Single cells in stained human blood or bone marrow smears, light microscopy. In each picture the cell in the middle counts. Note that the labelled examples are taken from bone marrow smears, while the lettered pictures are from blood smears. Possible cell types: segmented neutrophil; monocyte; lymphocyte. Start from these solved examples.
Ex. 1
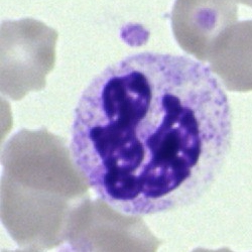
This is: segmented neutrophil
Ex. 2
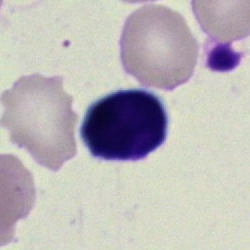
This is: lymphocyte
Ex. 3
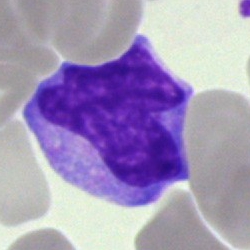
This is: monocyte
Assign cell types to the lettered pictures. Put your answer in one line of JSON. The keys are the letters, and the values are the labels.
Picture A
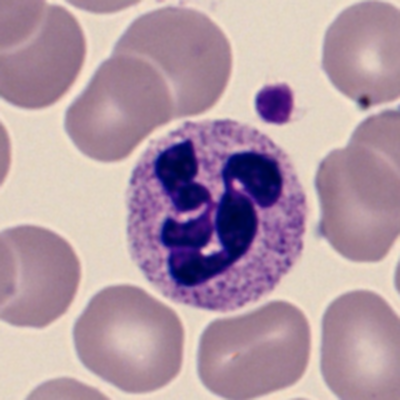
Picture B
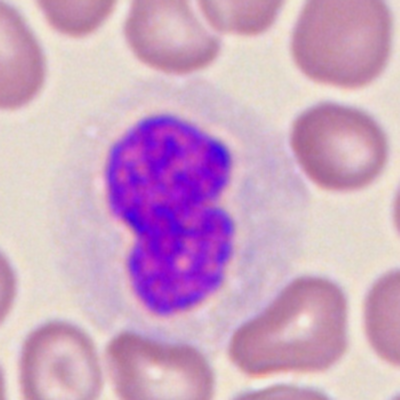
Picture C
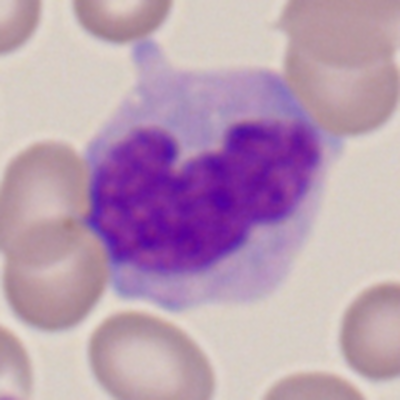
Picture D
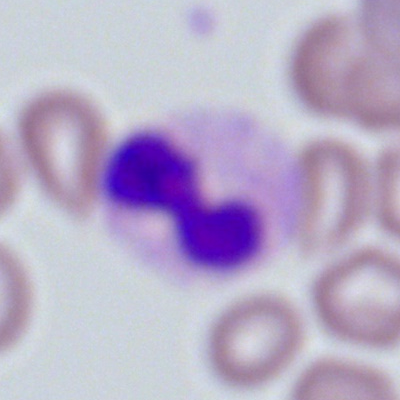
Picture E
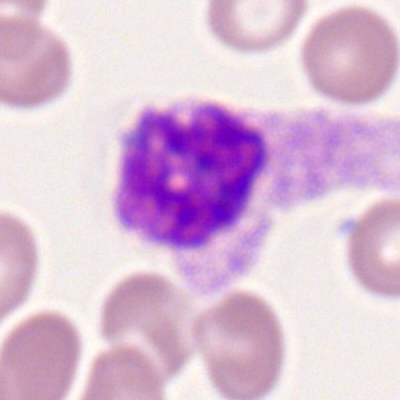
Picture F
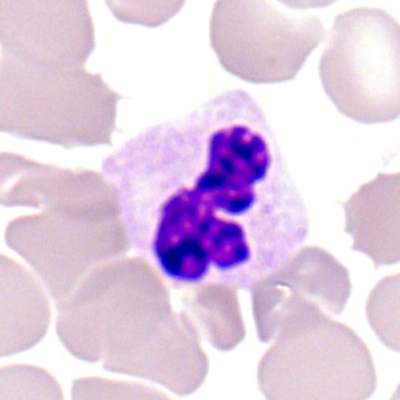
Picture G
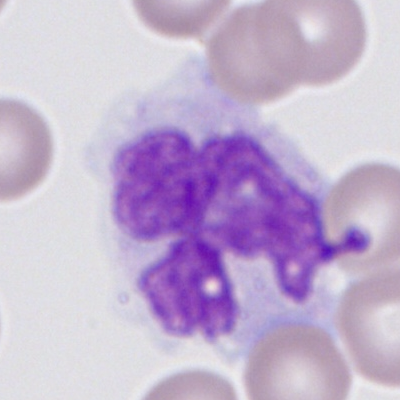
{"A": "segmented neutrophil", "B": "monocyte", "C": "monocyte", "D": "segmented neutrophil", "E": "monocyte", "F": "segmented neutrophil", "G": "monocyte"}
